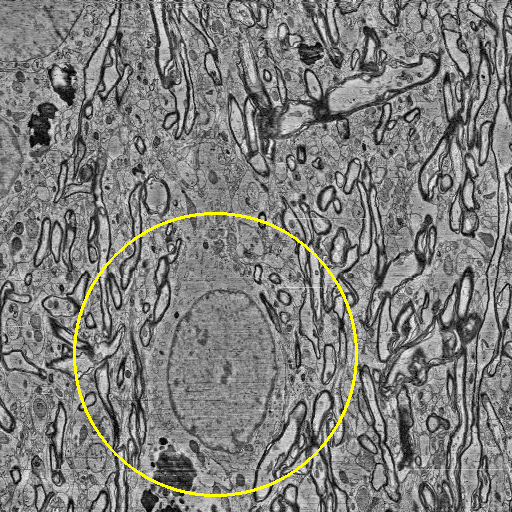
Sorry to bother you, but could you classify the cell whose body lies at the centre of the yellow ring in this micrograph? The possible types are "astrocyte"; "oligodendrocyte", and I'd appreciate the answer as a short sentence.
The ringed cell body is that of an astrocyte.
